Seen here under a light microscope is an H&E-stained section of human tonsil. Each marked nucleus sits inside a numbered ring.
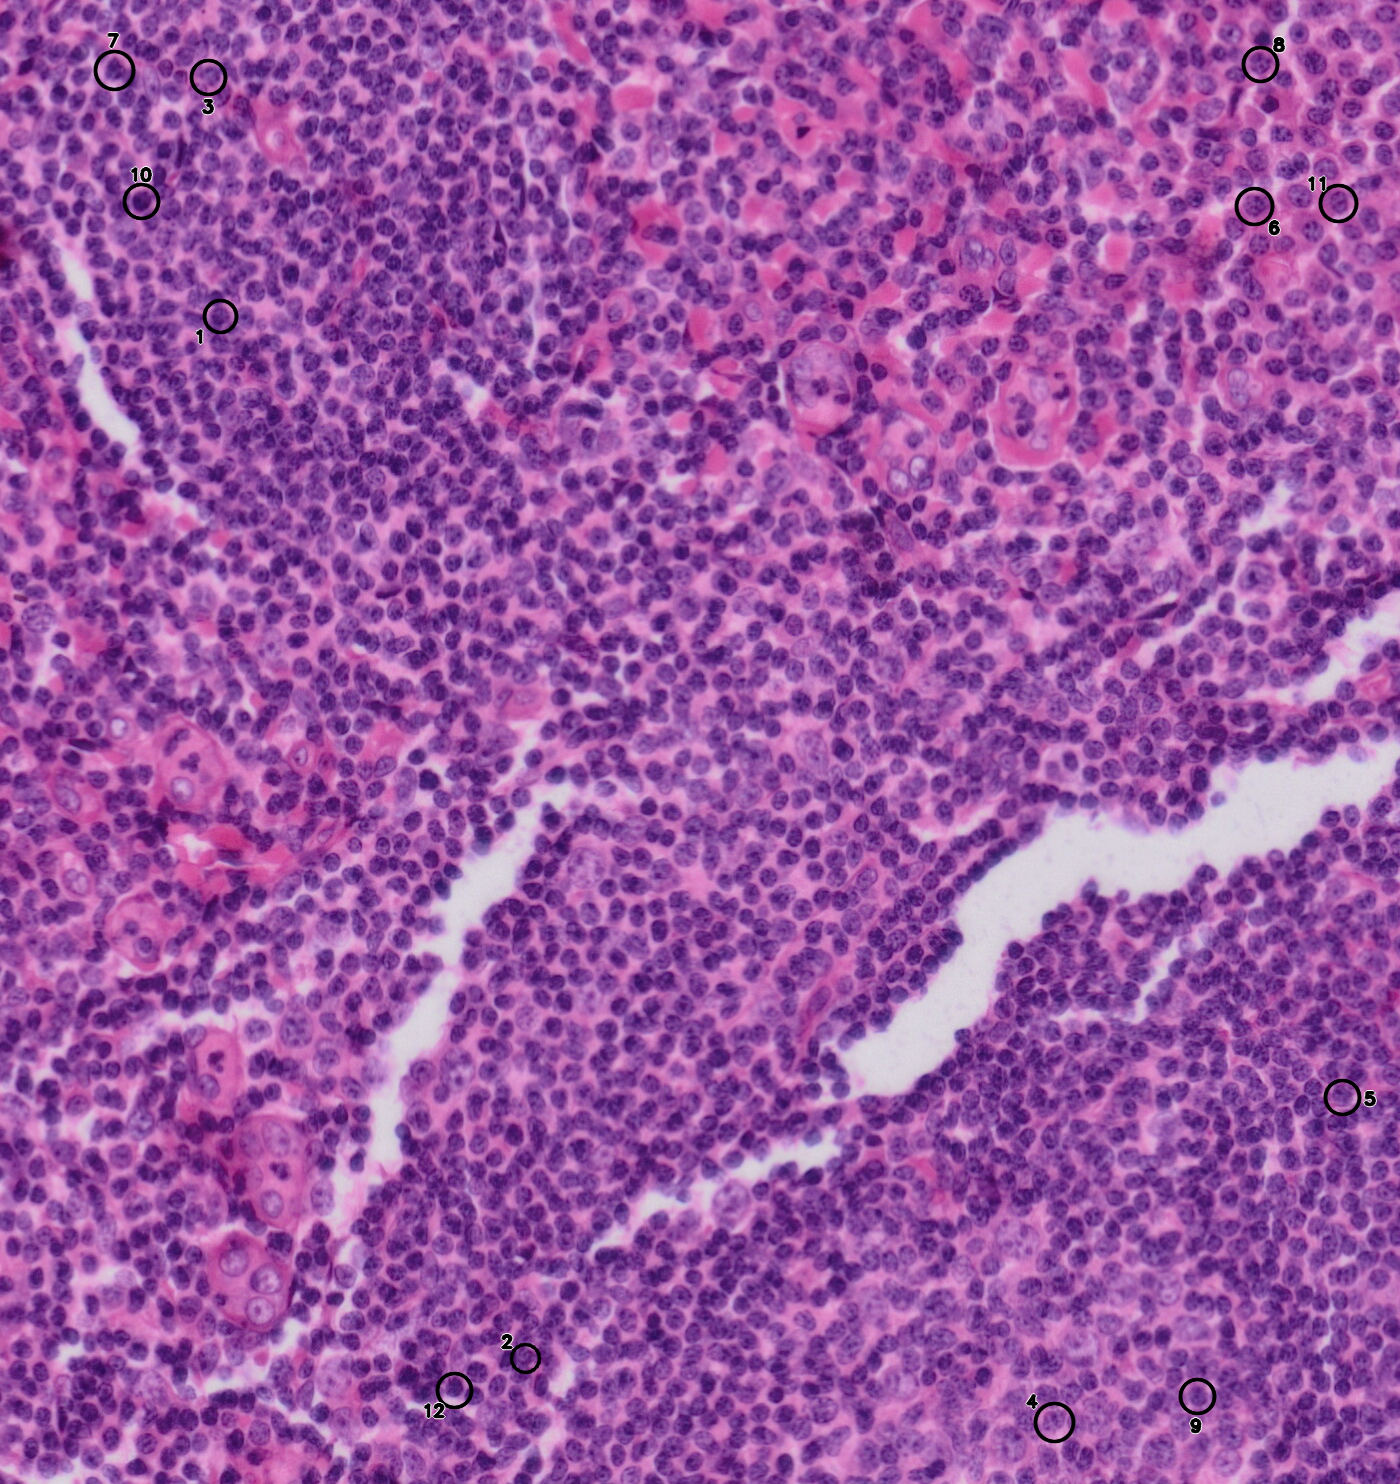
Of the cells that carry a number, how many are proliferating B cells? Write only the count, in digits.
2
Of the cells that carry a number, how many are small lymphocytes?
7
